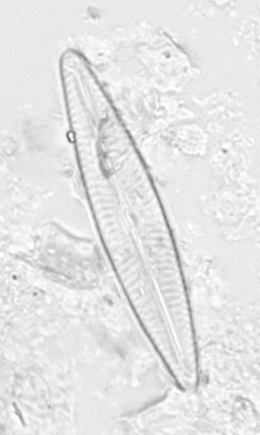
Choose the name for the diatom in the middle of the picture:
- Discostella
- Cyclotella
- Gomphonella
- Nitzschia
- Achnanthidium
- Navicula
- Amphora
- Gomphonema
Navicula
